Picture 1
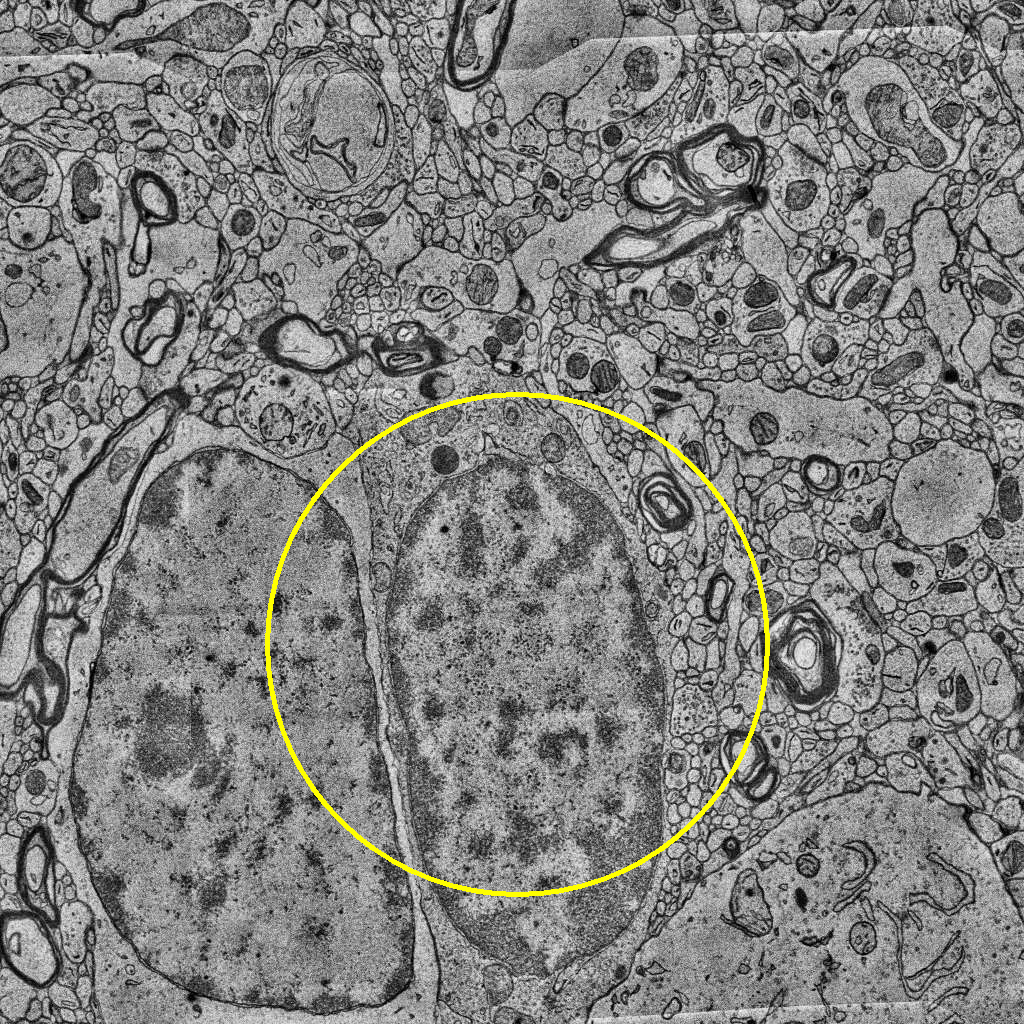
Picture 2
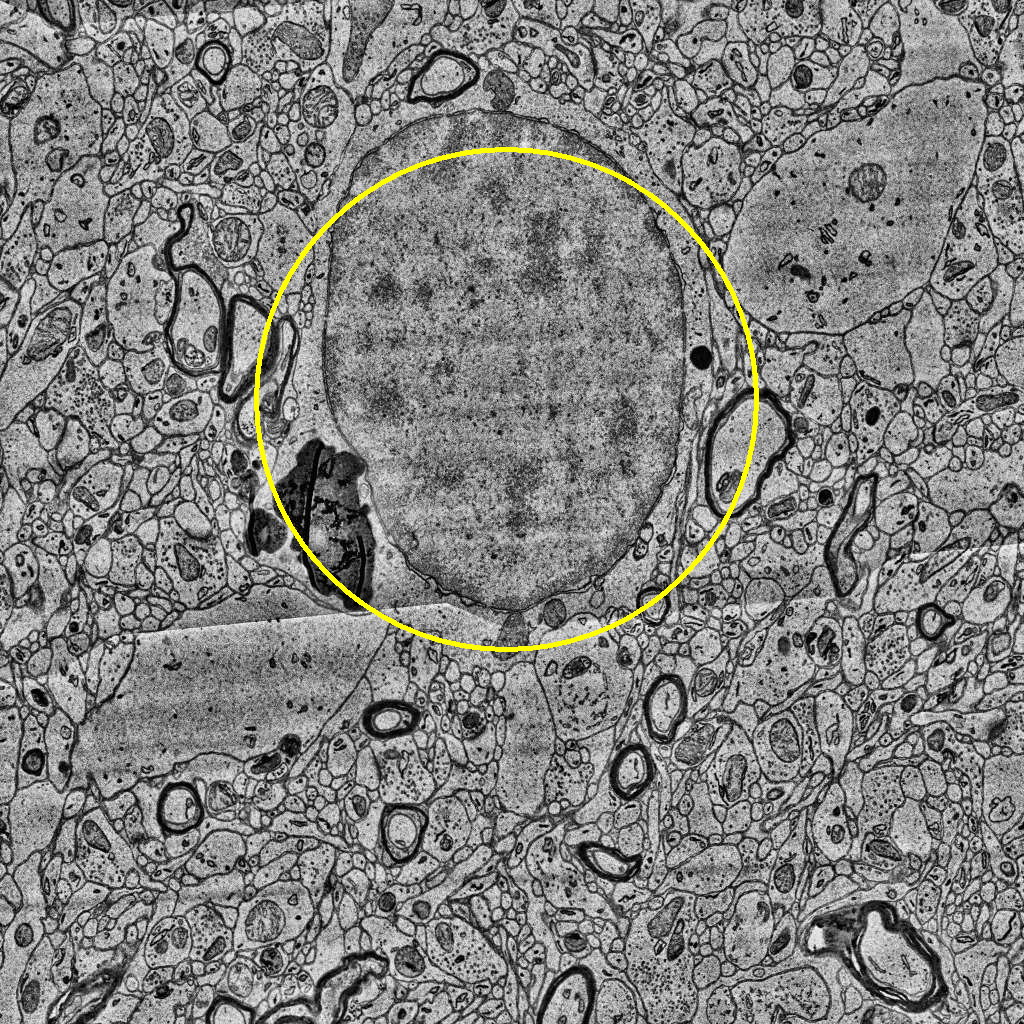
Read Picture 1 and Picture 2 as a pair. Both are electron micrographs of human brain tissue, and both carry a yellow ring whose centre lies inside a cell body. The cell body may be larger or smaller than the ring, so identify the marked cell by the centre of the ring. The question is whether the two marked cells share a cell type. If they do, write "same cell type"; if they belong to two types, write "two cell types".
same cell type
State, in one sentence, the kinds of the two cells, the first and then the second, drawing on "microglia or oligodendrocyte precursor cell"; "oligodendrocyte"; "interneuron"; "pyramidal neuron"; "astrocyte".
Each of the two cells is an oligodendrocyte.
